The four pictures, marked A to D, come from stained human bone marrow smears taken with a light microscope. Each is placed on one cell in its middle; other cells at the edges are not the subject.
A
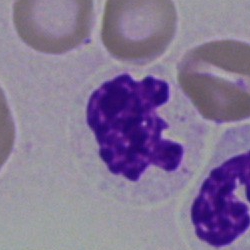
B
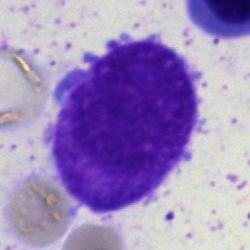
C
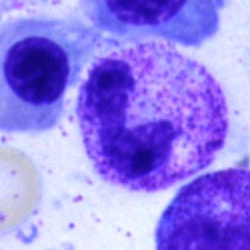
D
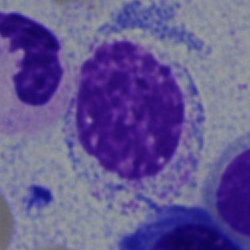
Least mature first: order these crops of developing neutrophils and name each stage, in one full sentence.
Lined up by maturity, least mature to most mature, they are crop B (a promyelocyte), crop D (a myelocyte), crop C (a band neutrophil) and crop A (a segmented neutrophil).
